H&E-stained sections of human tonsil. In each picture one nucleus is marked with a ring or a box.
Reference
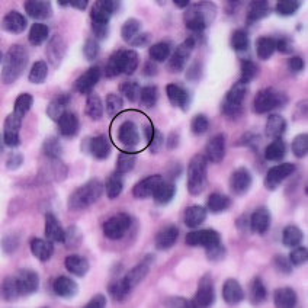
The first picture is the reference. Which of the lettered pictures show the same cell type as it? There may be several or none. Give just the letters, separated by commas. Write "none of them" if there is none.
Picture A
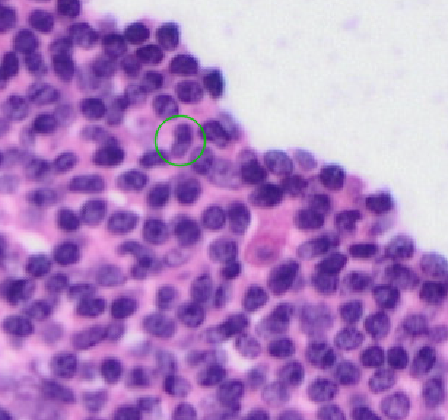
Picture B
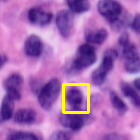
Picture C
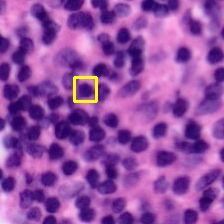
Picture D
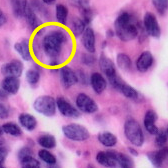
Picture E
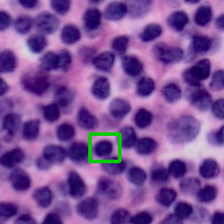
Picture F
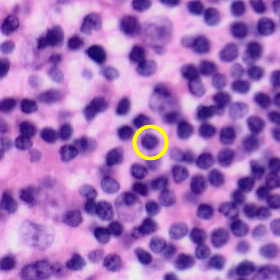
A, C, E, F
